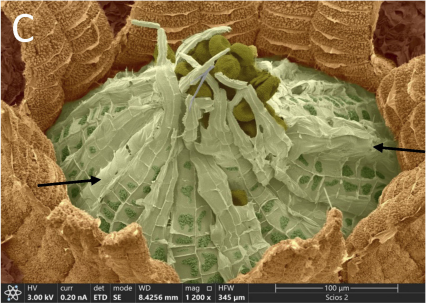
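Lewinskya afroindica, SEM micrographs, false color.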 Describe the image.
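The mouth of a moss capsule is seen from above, with the endostome coloured light green in the centre, ringed by exostome teeth coloured brown. The green segments converge toward the middle; each is crossed by a median line from which transverse lines mark off rows of small rectangular areas, many of which bear darker green speckled ornament. At the centre, where the segment tips meet, a cluster of rounded dark olive spores is held. The brown teeth at the rim stand partly erect and have a finely ridged, textured surface.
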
